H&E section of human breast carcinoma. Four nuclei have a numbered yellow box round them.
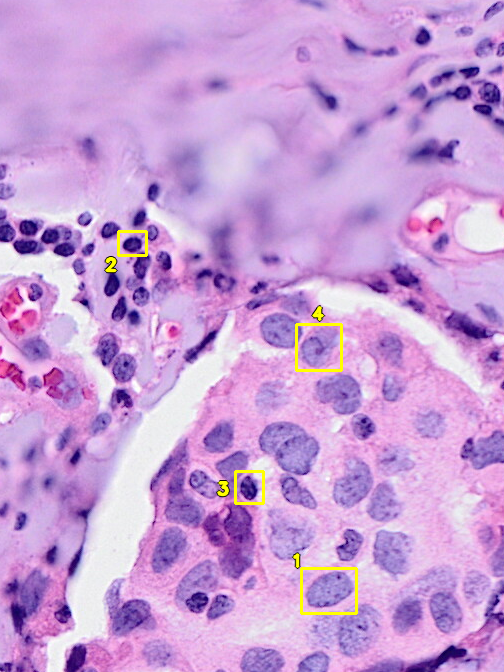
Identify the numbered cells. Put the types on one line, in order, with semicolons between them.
carcinoma cell; lymphocyte; lymphocyte; carcinoma cell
